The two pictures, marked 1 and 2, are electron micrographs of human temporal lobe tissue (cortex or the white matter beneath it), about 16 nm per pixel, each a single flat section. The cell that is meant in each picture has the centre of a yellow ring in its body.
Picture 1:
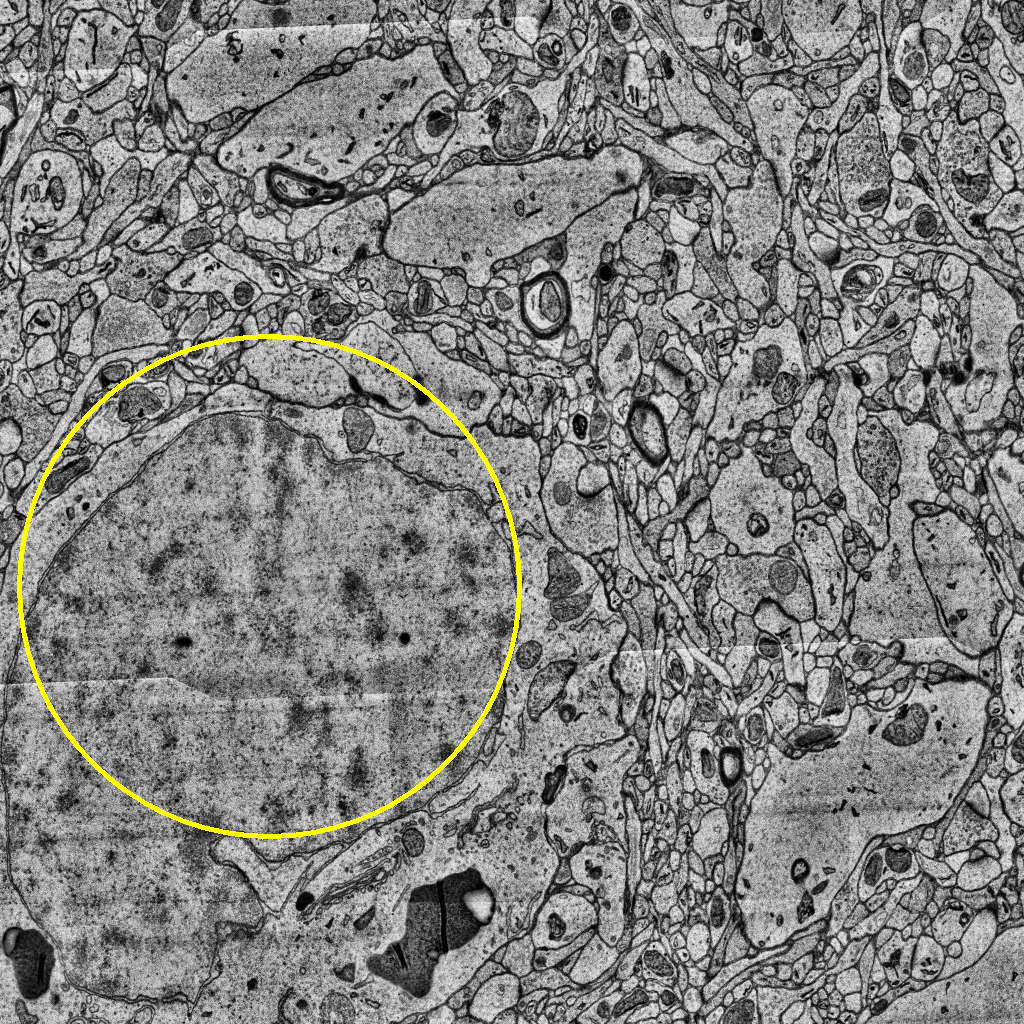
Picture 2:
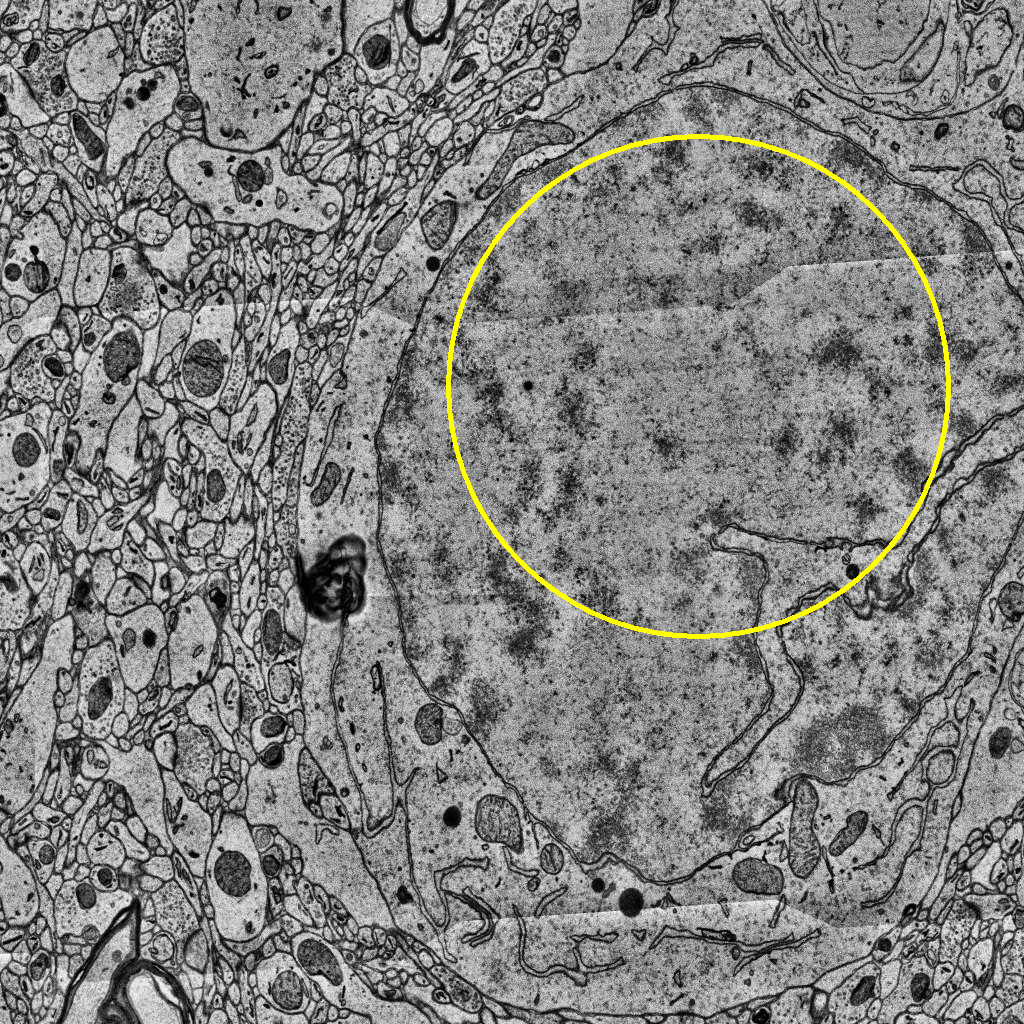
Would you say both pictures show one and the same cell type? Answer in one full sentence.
Yes, both are interneurons.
